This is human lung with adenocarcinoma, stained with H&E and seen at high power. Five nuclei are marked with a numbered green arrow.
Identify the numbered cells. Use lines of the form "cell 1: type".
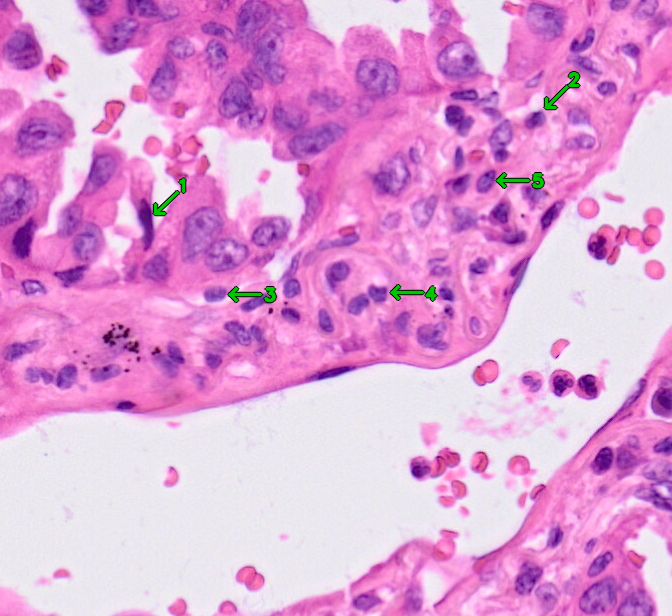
cell 1: carcinoma cell
cell 2: lymphocyte
cell 3: lymphocyte
cell 4: lymphocyte
cell 5: mast cell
